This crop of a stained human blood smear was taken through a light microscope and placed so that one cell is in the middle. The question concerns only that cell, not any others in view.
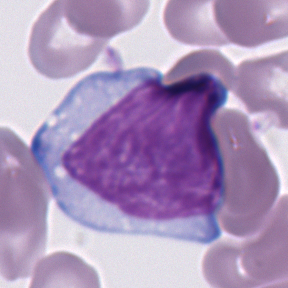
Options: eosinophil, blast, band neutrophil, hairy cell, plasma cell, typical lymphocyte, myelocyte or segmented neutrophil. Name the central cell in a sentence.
The cell at the middle of the crop is recognized as a blast.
